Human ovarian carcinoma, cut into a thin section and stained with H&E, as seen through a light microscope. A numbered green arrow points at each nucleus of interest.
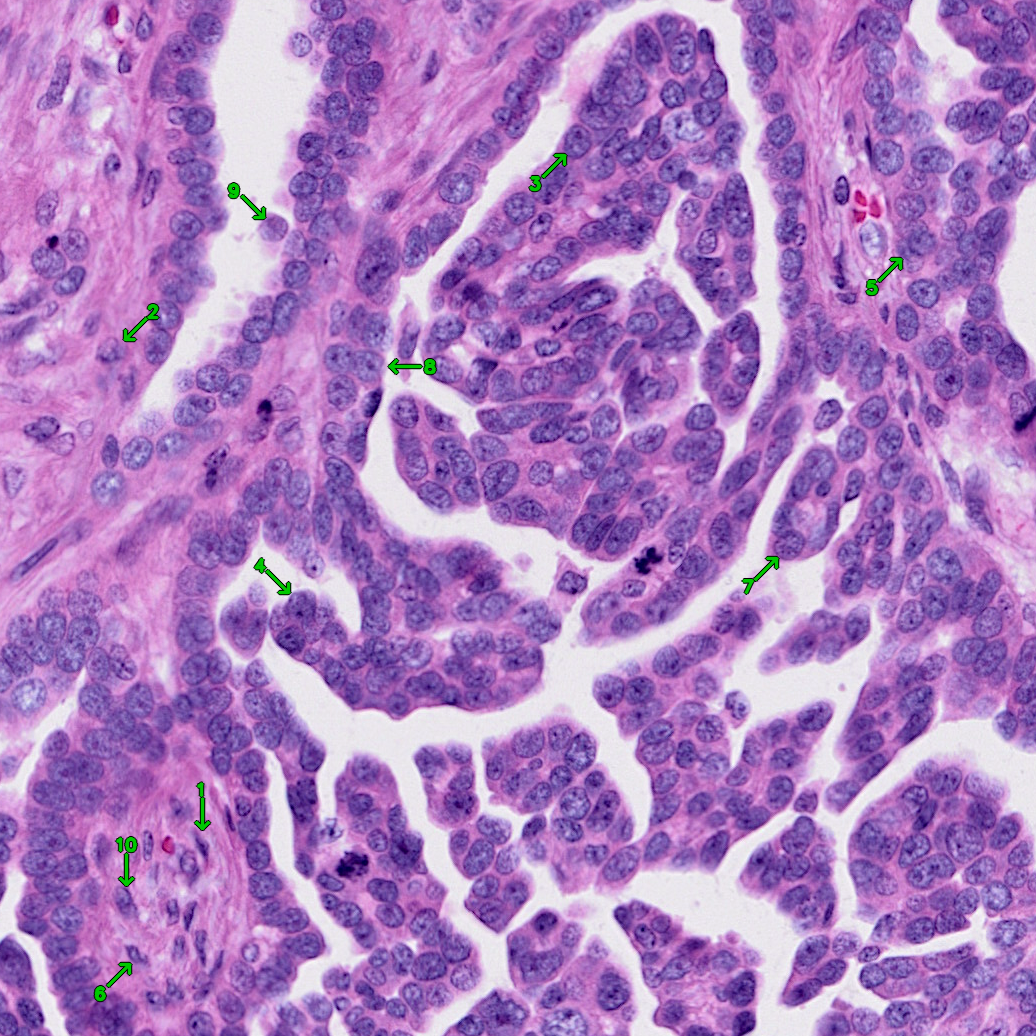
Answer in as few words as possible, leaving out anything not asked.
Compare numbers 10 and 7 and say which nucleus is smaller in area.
10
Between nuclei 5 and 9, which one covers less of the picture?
9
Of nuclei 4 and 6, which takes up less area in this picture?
6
